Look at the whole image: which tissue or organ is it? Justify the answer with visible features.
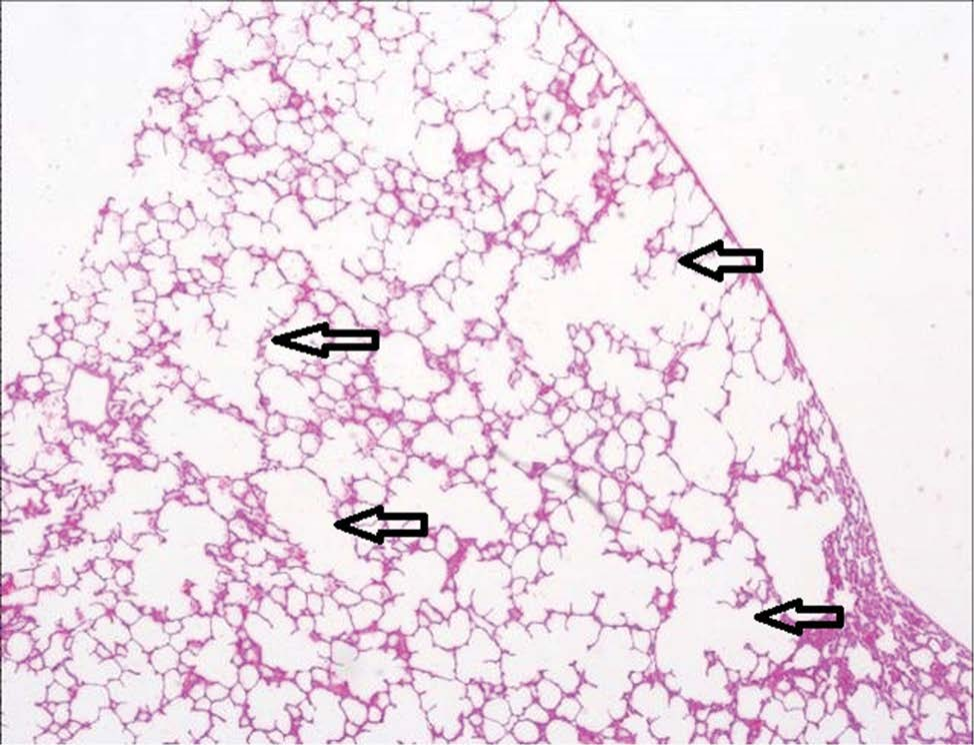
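Lung parenchyma. A lace-like network of thin pink septa encloses many small, rounded empty spaces. The tissue has a spongy, airspace-filled architecture.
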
